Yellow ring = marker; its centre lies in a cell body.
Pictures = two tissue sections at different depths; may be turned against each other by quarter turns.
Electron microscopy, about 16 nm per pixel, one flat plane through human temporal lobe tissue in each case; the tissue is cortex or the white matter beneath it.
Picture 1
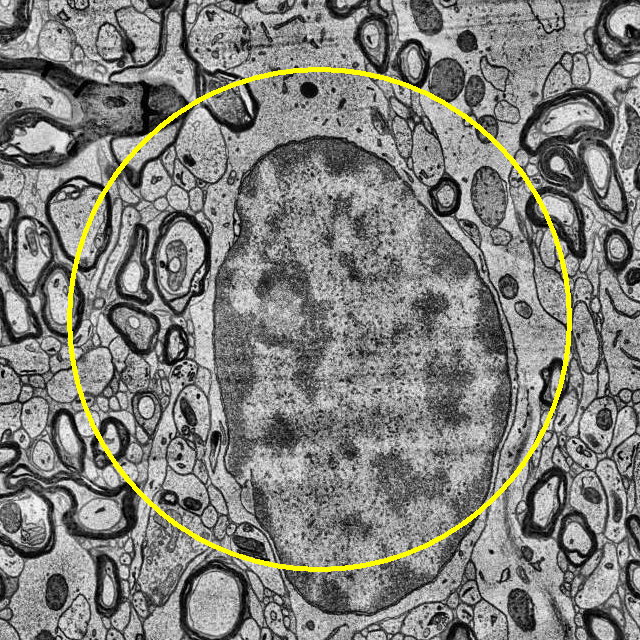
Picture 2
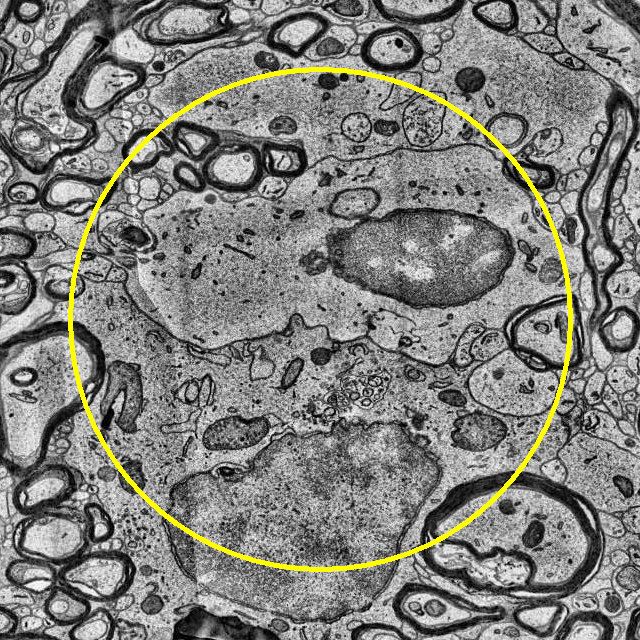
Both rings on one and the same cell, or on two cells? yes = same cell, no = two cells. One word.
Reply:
yes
